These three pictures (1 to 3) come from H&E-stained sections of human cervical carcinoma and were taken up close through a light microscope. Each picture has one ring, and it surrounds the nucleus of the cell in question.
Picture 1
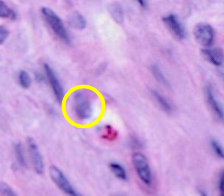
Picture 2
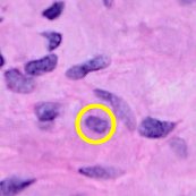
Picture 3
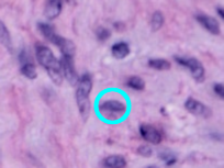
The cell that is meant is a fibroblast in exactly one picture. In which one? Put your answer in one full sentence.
The cell in picture 2 is the fibroblast.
